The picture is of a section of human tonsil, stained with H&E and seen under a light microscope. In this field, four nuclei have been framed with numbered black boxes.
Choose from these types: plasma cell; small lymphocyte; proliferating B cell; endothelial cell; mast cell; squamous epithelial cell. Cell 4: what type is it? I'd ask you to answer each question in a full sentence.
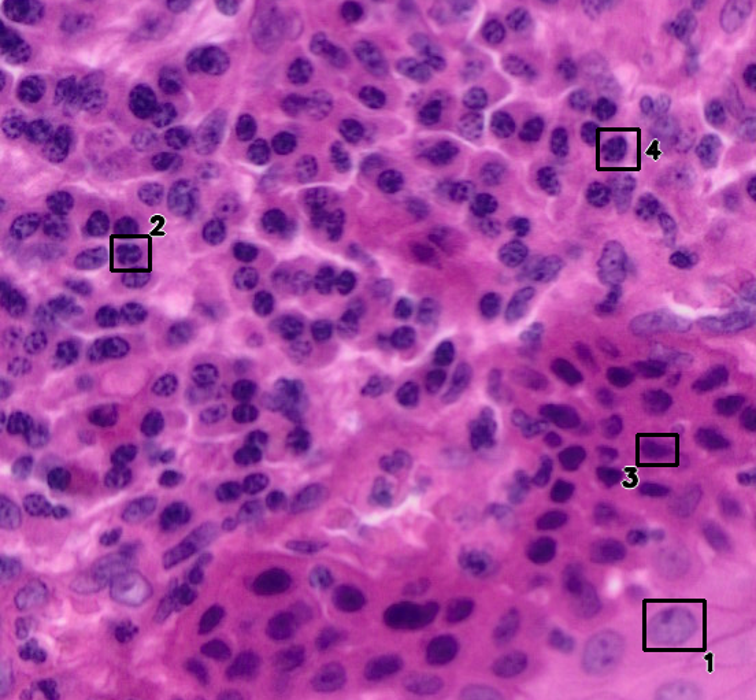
The identity of cell 4 is that of a plasma cell.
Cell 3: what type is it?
The cell identified by the number 3 is a squamous epithelial cell.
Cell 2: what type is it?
Of the numbered cells, the one labelled 2 is a plasma cell.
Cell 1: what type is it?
Nucleus 1 in this section belongs to a squamous epithelial cell.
